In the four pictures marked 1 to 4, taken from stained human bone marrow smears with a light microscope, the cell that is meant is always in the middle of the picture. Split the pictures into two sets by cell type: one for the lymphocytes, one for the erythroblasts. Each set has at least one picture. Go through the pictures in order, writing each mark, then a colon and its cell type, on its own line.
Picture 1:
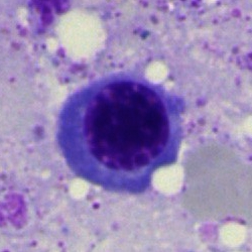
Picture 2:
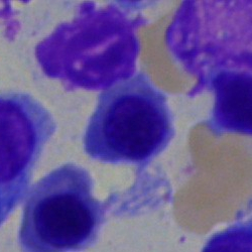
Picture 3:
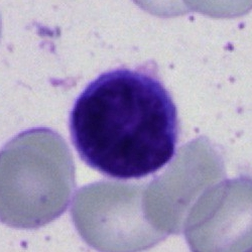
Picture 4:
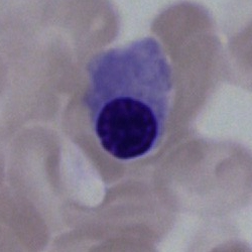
1: erythroblast
2: erythroblast
3: lymphocyte
4: erythroblast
